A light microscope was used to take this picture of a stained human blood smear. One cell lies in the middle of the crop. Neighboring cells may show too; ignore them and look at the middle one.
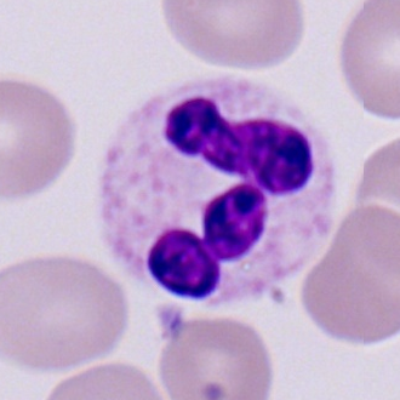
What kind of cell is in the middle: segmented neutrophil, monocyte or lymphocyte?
segmented neutrophil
